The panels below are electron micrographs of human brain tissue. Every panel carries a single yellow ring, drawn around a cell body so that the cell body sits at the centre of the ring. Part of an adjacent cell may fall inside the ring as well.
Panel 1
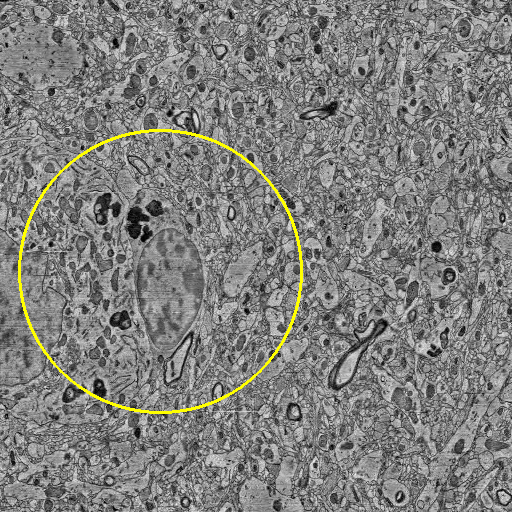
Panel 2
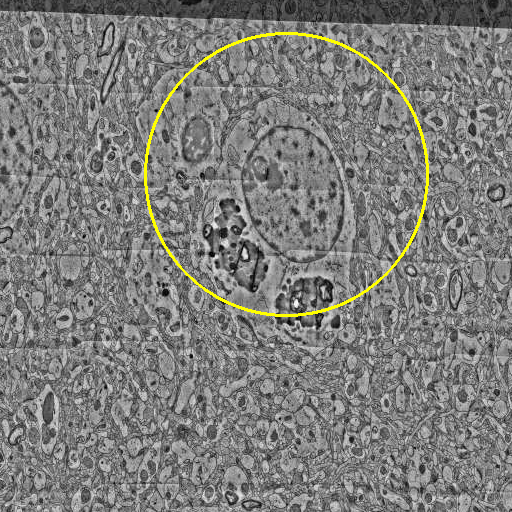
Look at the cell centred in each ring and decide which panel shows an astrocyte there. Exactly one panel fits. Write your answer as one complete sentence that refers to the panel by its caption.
Panel 2 has it at the centre of its ring.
